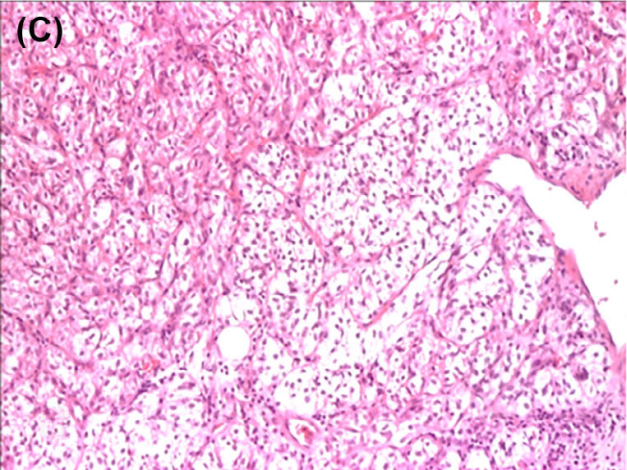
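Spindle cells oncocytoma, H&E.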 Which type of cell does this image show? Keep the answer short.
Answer: clear cells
